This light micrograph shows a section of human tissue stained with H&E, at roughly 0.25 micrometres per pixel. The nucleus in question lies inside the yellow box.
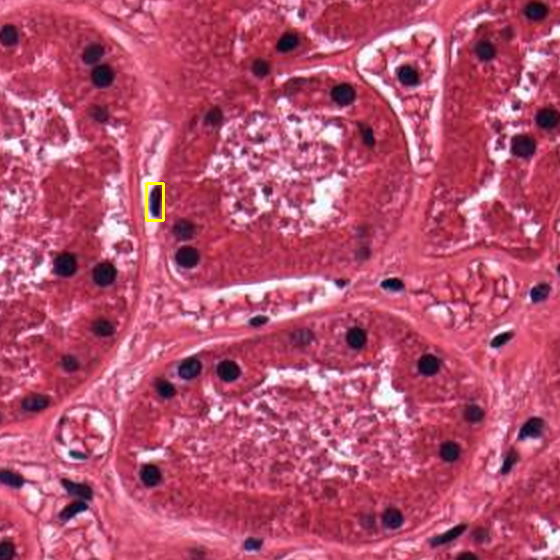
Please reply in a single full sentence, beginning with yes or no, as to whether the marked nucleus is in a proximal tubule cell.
No, the marked nucleus is carried by a supporting cell rather than by a proximal tubule cell.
